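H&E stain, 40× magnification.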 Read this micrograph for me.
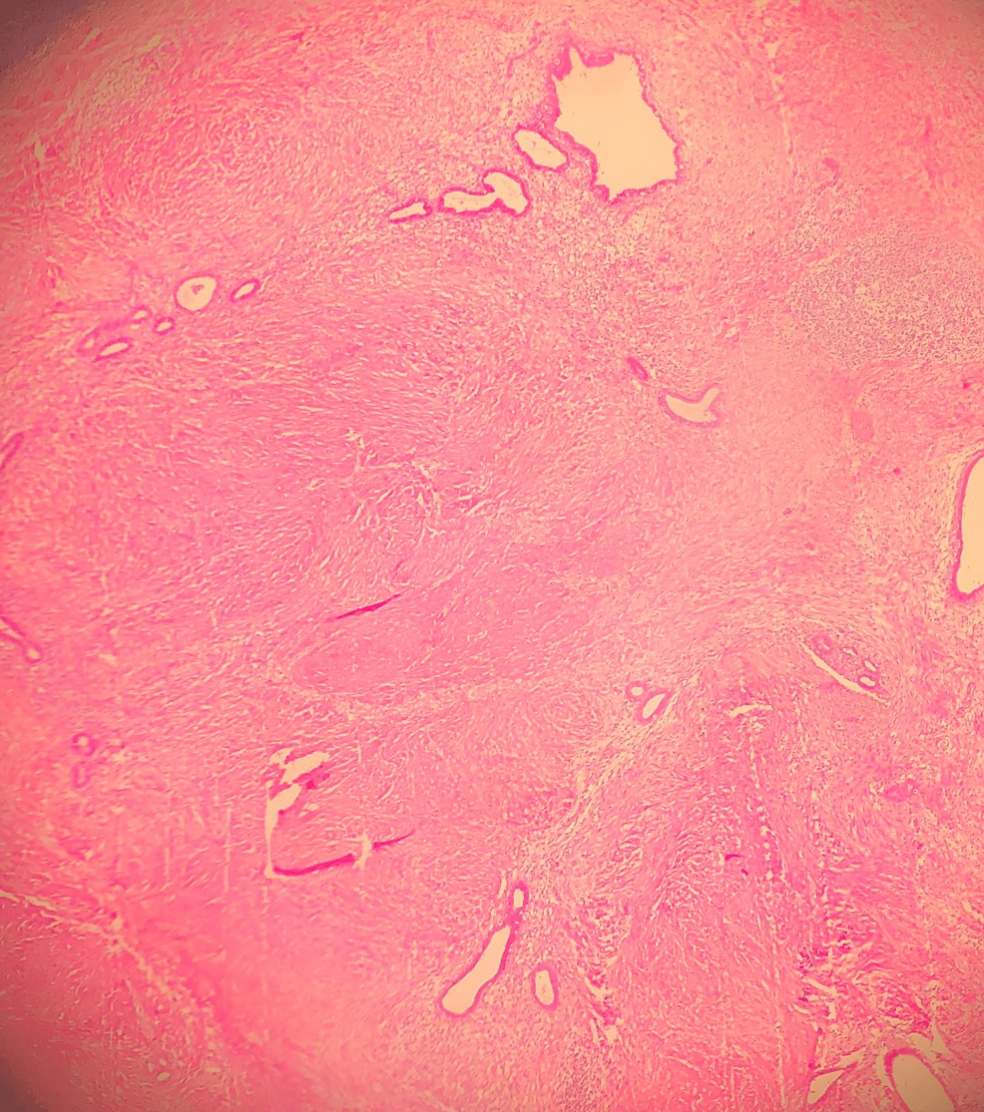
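Low-power view of smooth muscle fibers with endometrial glands and endometrial stroma lying within them. Scattered glands of varying size, some cystically dilated, are lined by a thin epithelial layer. The surrounding pink muscle is arranged in interlacing fascicles, and a more cellular, denser zone appears toward the upper right.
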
